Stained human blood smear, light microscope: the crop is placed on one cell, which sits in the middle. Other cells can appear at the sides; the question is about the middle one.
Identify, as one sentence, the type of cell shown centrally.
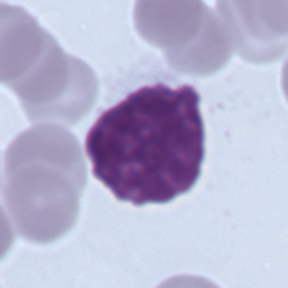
The cell in the exact centre of the crop is a smudge cell.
